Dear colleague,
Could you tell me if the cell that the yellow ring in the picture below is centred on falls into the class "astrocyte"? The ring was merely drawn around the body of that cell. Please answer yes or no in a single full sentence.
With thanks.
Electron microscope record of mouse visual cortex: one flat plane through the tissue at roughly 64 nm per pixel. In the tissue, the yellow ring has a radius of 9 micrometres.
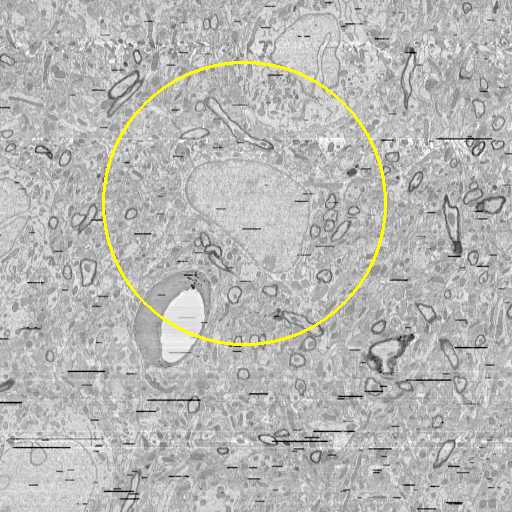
Yes, the cell on which the ring in your picture is centred falls into that class.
